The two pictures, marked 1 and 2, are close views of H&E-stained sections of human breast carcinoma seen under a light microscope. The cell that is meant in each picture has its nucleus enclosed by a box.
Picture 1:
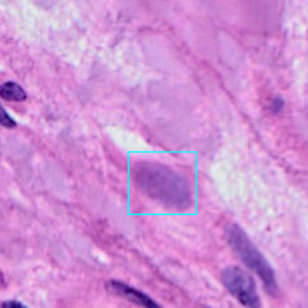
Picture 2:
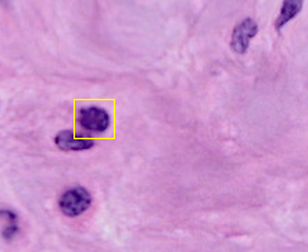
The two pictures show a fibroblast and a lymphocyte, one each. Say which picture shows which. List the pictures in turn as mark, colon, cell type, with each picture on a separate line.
1: fibroblast
2: lymphocyte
